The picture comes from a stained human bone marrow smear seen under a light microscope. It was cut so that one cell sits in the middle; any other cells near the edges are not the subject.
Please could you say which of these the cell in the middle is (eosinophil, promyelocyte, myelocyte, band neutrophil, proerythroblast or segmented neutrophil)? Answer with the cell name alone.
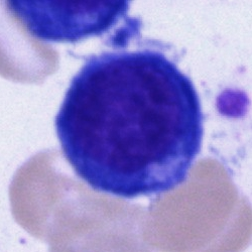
proerythroblast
